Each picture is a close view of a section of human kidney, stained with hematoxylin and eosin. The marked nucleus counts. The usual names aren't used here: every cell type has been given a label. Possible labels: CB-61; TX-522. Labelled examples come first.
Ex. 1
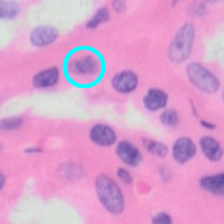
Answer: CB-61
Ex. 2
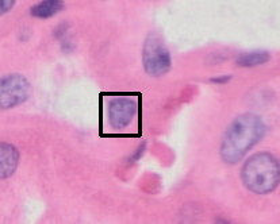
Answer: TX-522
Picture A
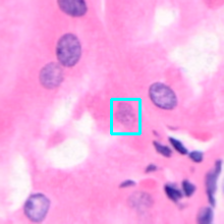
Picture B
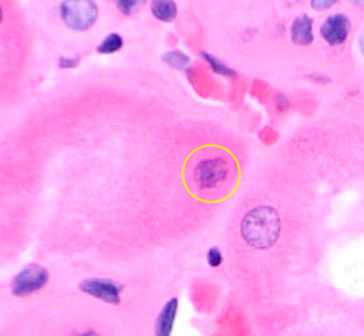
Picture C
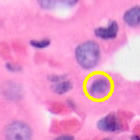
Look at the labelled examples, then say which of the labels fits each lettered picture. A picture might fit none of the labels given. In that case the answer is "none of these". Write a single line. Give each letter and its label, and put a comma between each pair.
A none of these, B none of these, C TX-522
